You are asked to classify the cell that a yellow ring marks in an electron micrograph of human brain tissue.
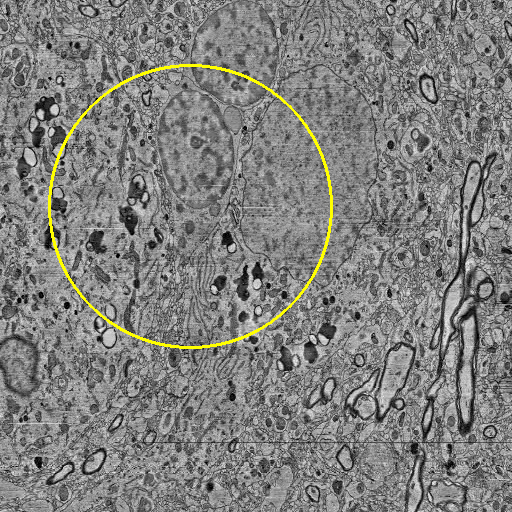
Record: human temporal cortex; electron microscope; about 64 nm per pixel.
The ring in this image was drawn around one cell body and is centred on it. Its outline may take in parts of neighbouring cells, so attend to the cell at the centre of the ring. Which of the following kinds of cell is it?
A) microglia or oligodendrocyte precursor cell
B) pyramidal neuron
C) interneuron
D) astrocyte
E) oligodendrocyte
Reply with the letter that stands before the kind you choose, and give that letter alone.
E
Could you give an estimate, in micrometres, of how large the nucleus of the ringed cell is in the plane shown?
At approximately 8 by 5 micrometres, the nucleus is clearly longer than it is wide in this plane.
